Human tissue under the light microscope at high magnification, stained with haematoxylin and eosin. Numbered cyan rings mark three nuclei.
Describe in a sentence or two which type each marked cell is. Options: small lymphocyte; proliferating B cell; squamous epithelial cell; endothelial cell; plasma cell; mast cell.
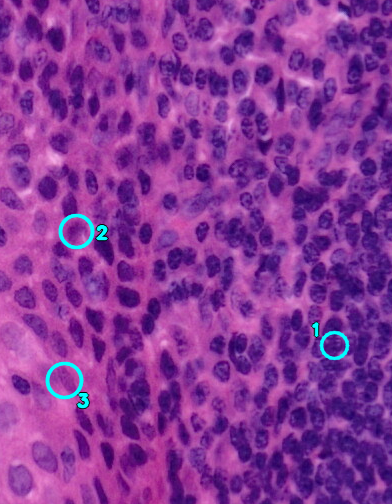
Cell 1 is a small lymphocyte, cell 2 is a squamous epithelial cell and cell 3 is a squamous epithelial cell.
